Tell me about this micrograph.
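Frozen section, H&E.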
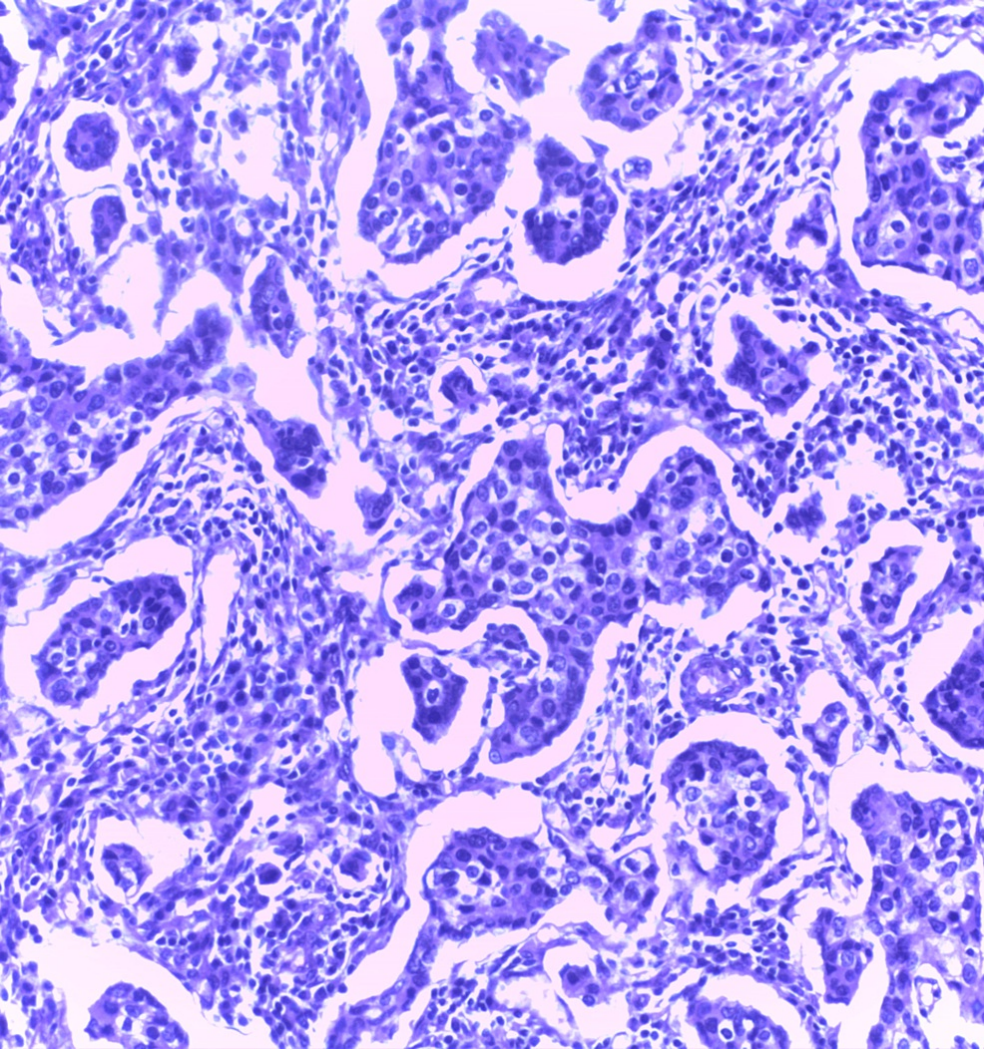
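Infiltrating carcinoma in which large epithelial tumour cells form irregular, branching cords and nests, each separated from the surrounding stroma by a clear retraction space. The intervening stroma is densely cellular, packed with small round dark nuclei of inflammatory cells and spindle-shaped stromal cells.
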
